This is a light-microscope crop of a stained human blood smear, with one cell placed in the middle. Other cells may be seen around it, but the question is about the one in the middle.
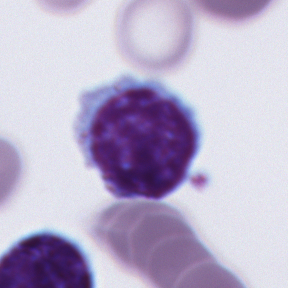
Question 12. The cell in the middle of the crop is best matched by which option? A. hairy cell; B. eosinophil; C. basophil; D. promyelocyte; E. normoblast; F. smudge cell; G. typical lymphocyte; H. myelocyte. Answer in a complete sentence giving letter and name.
Option G stands as correct, the central cell being a typical lymphocyte.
